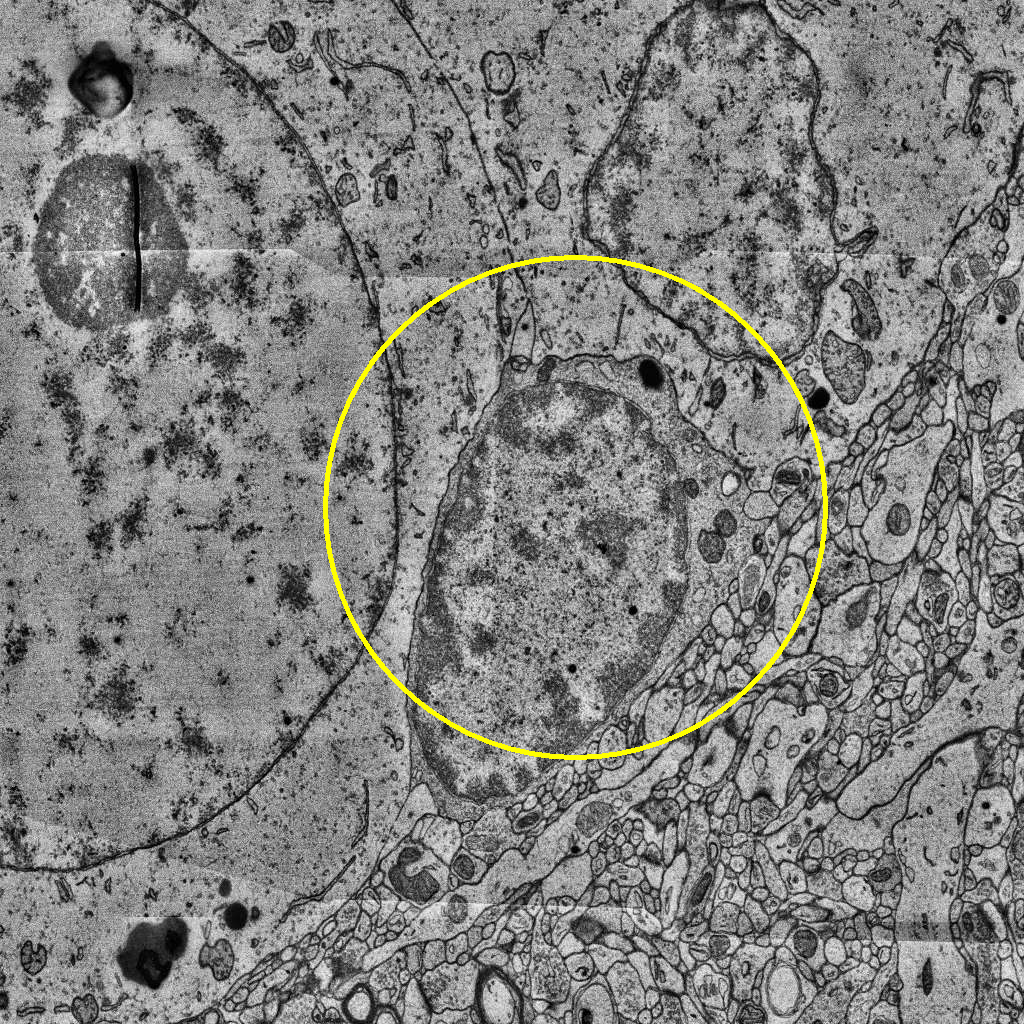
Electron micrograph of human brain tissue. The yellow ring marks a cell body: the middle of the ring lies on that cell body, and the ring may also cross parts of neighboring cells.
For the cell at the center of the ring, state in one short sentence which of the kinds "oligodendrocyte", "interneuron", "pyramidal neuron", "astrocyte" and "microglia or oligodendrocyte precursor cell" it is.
This ring's center lies on an oligodendrocyte.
